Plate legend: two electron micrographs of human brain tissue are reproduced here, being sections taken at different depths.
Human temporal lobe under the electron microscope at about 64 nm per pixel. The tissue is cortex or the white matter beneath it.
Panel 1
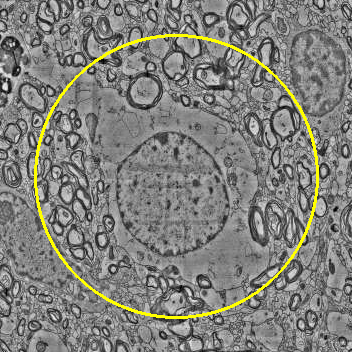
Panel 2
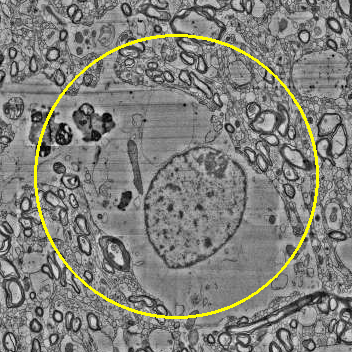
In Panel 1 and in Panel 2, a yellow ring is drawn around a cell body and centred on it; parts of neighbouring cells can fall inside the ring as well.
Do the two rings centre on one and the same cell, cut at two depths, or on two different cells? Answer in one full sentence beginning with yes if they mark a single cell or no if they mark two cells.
No, each of the two rings holds a different cell.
